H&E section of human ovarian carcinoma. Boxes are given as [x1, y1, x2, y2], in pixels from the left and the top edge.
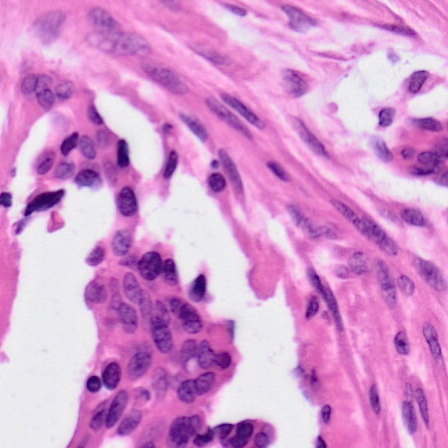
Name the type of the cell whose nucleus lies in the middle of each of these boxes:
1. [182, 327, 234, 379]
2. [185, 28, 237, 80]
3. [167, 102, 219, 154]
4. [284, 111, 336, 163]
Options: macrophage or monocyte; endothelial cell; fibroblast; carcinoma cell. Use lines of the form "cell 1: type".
cell 1: carcinoma cell
cell 2: fibroblast
cell 3: fibroblast
cell 4: fibroblast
